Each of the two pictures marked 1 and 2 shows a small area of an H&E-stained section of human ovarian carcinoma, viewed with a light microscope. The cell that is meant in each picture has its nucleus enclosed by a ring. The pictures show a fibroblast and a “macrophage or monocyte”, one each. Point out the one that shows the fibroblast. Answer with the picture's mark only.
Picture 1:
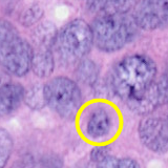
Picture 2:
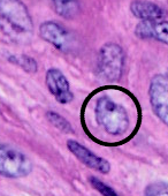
2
